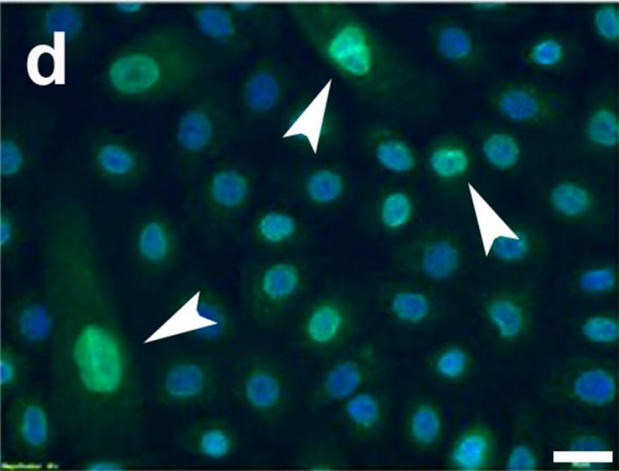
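Many nuclei appear green-tinged, and a few cells stand out with intense green nuclei. Among the cells are larger pleomorphic cells and a long spindle-shaped cell at the lower left, whose elongated cytoplasm is pale green and whose oval nucleus is brightly green. Another elongated irregular cell near the top also has a strongly green nucleus. The cells vary in size and shape rather than forming a uniform cobblestone sheet.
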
